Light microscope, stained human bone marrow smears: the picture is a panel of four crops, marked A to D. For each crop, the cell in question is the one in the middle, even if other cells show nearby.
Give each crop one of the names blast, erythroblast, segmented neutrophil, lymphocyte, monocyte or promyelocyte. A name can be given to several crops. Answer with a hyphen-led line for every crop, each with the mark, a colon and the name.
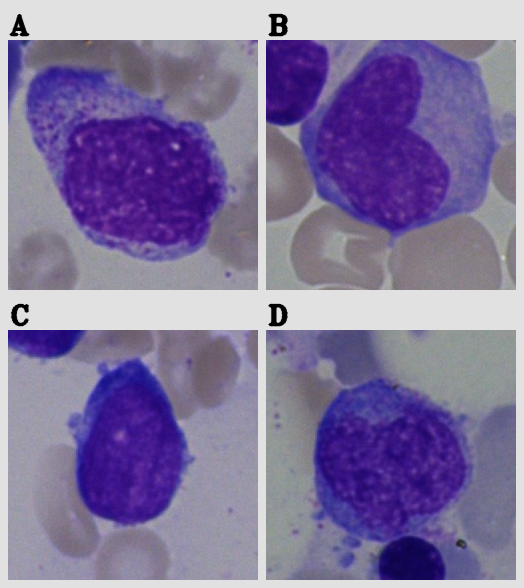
- A: promyelocyte
- B: monocyte
- C: blast
- D: monocyte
